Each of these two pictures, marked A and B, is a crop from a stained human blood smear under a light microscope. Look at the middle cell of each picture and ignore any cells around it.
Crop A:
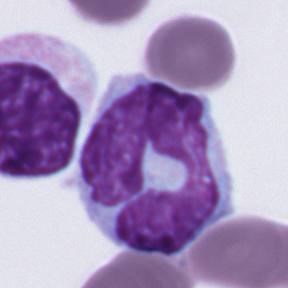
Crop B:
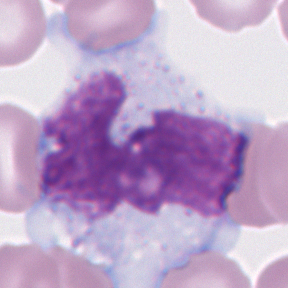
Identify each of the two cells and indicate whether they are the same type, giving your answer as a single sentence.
Yes, both crops feature monocytes at the centre.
